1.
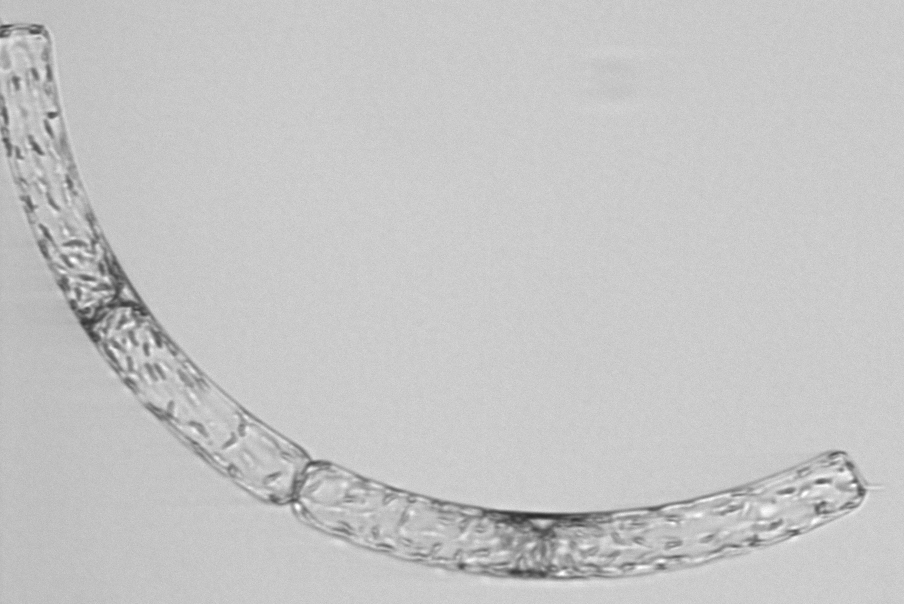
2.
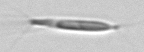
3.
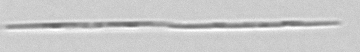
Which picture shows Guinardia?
Picture 1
